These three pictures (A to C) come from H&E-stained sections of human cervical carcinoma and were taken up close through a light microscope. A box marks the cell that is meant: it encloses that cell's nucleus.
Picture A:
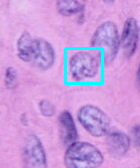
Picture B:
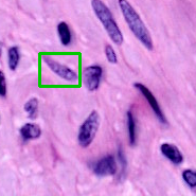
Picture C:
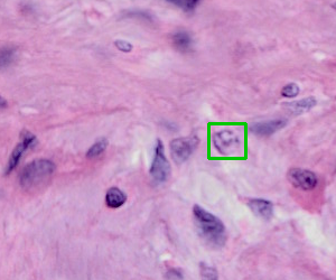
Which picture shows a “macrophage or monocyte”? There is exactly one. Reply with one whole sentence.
The picture with the “macrophage or monocyte” is C.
